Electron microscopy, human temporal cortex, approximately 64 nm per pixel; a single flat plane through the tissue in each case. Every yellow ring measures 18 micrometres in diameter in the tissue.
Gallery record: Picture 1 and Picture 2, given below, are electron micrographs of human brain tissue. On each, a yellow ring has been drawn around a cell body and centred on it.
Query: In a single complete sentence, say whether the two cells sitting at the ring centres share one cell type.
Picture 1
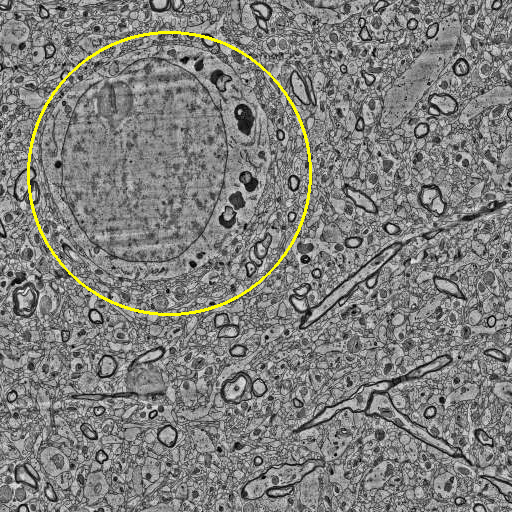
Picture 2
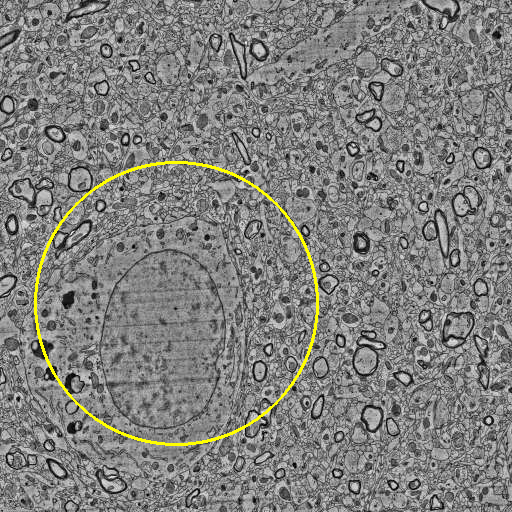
Yes, in both pictures the cell at the ring's centre is of one and the same type.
